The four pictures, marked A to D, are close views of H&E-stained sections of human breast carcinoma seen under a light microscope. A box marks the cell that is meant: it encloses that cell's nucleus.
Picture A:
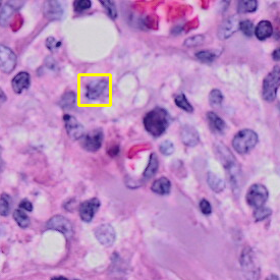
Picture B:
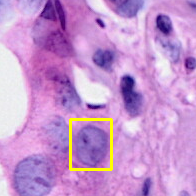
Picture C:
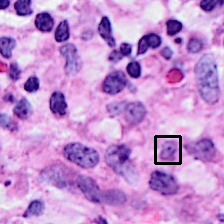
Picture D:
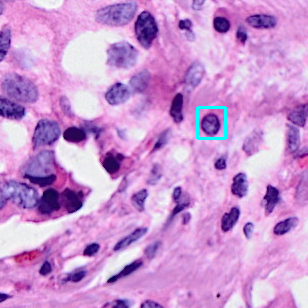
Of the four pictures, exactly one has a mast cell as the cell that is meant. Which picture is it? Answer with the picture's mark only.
D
